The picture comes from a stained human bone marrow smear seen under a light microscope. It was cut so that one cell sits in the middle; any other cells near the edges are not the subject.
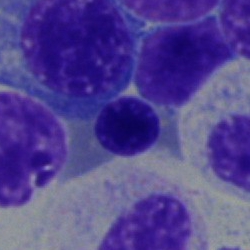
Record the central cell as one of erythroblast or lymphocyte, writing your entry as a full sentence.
The central element of this crop is a cell, namely an erythroblast.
